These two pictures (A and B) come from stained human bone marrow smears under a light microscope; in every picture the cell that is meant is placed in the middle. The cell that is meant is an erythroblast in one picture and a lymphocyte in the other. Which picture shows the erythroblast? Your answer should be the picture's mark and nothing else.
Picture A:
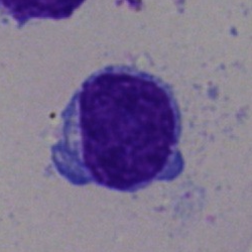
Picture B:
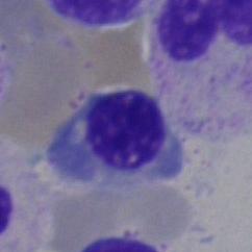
B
